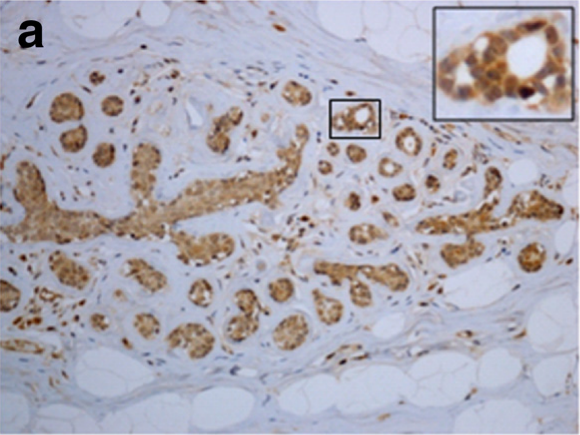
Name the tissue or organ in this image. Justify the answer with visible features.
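Normal ductal and lobular epithelium. Many small round acini are clustered into a lobule. A longer branching duct runs across the lobule.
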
